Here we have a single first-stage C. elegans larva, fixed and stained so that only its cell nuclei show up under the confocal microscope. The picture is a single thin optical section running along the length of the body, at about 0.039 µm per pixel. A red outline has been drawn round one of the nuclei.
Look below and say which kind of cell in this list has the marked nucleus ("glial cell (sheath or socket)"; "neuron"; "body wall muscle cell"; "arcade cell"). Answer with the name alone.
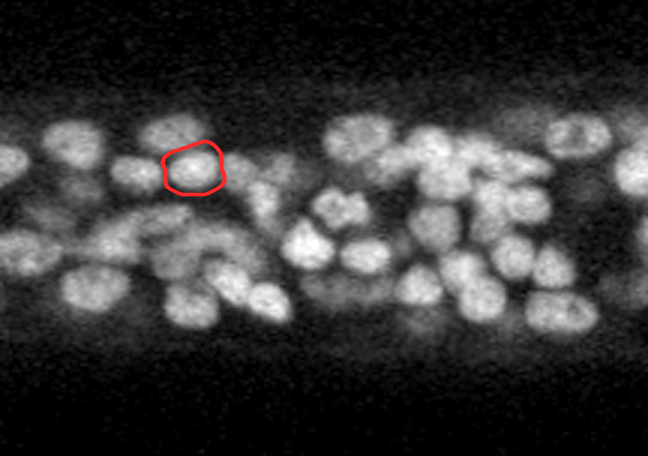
arcade cell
